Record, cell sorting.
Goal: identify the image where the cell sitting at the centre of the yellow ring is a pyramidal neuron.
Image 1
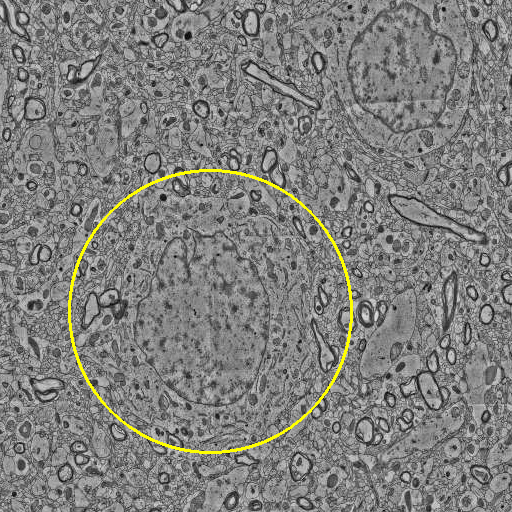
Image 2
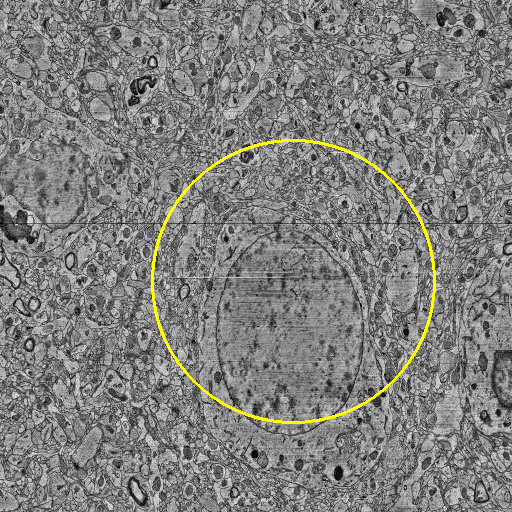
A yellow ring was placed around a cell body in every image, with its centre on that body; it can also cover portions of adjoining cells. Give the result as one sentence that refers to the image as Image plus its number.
Image 2 shows the requested cell sitting right at the centre of its ring.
